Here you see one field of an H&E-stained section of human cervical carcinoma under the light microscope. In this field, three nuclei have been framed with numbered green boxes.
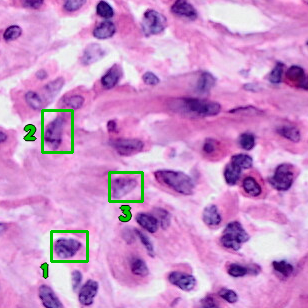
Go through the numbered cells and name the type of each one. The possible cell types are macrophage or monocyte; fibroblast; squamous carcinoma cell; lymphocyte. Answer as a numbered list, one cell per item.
1. lymphocyte
2. macrophage or monocyte
3. macrophage or monocyte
